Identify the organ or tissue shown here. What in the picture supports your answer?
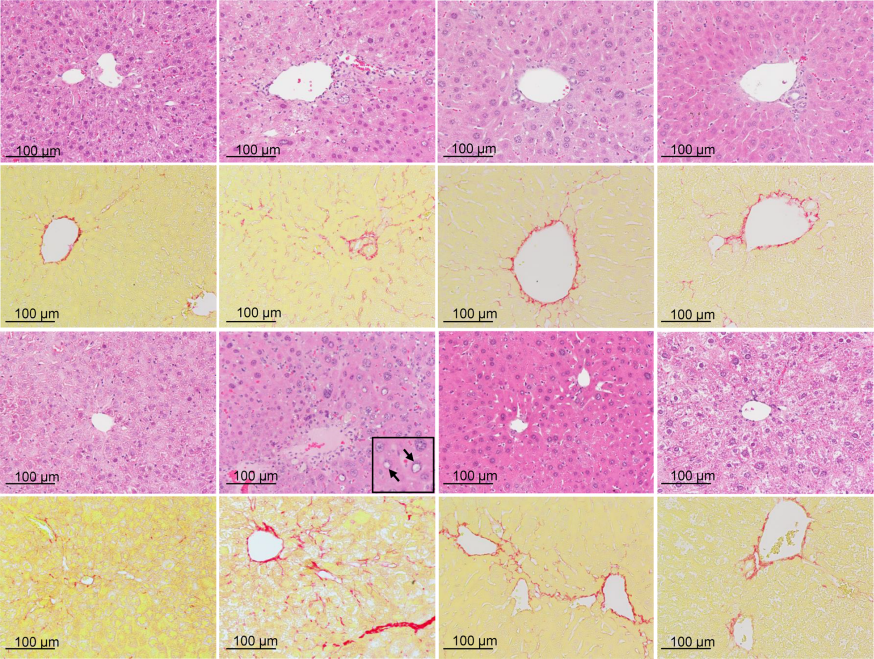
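Sheets and cords of polygonal cells with central round nuclei and pink cytoplasm. Round vascular lumina lie scattered among the cell cords. So: liver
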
